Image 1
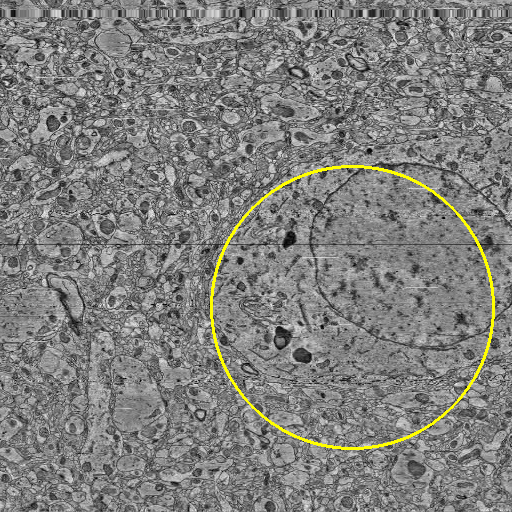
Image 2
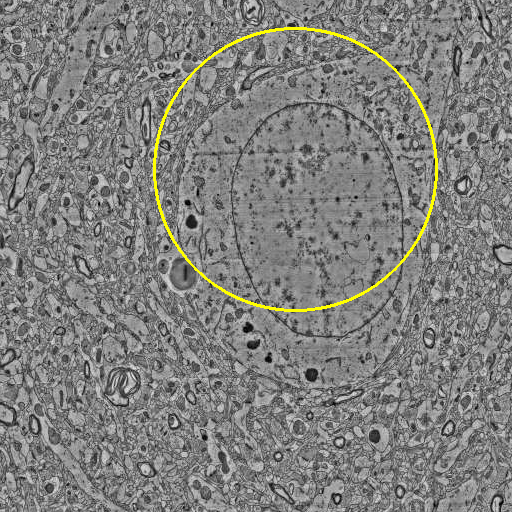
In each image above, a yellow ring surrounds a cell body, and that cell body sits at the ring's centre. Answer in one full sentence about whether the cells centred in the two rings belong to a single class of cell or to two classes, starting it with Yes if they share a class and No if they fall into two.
Yes, the cells centred in the two yellow rings belong to a single class of cell.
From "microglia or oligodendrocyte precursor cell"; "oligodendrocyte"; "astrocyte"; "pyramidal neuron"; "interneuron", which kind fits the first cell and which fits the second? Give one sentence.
In each picture the ringed cell is a pyramidal neuron.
